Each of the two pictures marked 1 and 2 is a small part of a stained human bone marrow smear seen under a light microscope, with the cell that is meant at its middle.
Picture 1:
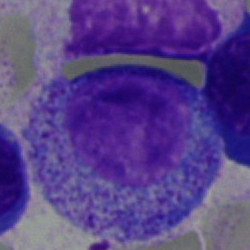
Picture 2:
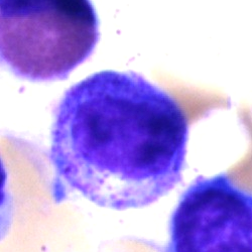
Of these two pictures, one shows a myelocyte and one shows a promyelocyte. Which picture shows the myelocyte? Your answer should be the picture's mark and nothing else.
2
